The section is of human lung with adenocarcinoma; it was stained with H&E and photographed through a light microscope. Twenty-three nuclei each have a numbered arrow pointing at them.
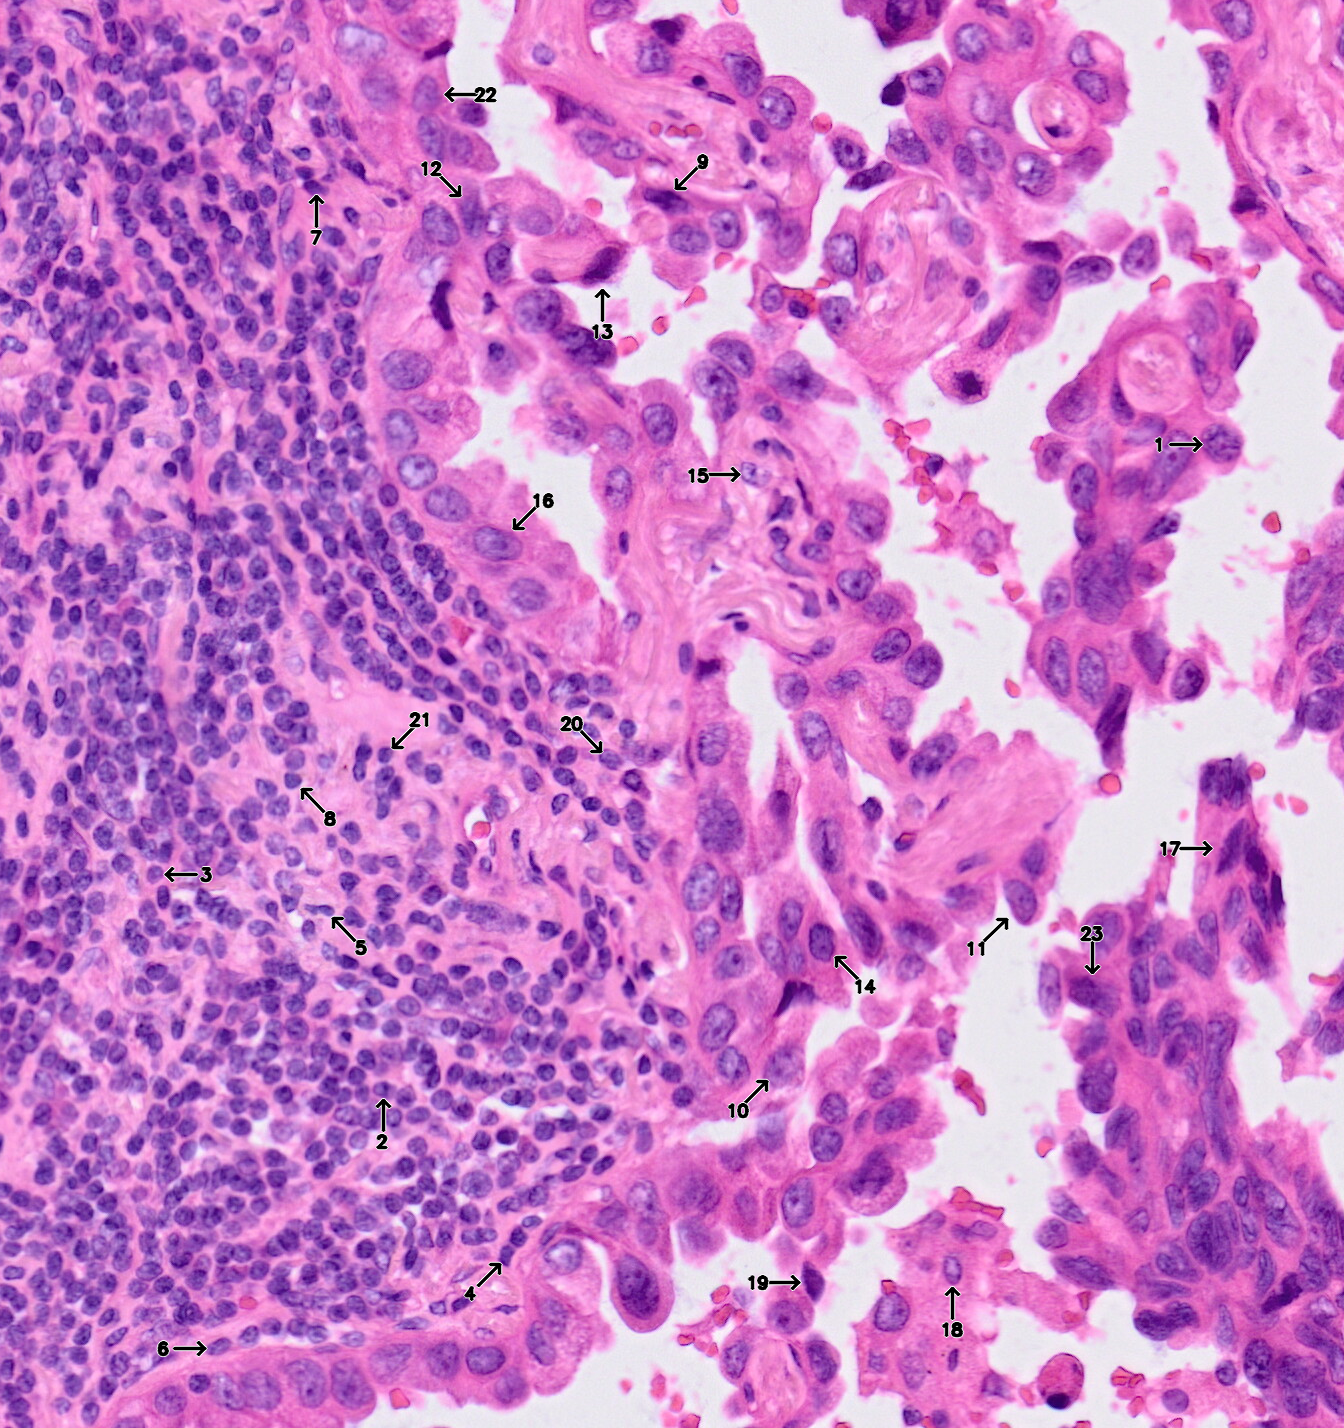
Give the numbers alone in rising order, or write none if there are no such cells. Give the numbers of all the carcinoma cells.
1, 9, 10, 11, 12, 13, 14, 16, 17, 19, 22, 23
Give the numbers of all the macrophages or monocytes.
18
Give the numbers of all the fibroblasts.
15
